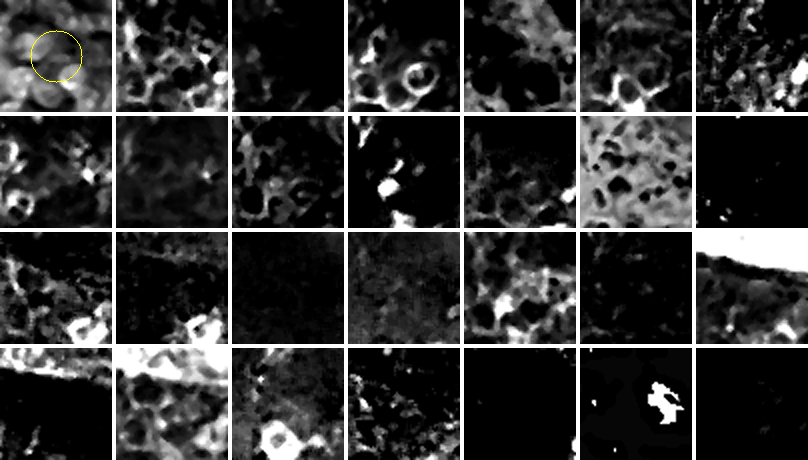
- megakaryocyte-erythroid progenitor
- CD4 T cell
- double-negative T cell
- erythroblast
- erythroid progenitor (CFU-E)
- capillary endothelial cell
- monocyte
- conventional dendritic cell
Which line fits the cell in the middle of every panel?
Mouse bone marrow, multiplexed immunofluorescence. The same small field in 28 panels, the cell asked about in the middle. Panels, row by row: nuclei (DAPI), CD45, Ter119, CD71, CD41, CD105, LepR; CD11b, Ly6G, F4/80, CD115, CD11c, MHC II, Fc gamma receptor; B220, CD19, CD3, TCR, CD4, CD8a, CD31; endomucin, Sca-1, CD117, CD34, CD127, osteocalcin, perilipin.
erythroid progenitor (CFU-E)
